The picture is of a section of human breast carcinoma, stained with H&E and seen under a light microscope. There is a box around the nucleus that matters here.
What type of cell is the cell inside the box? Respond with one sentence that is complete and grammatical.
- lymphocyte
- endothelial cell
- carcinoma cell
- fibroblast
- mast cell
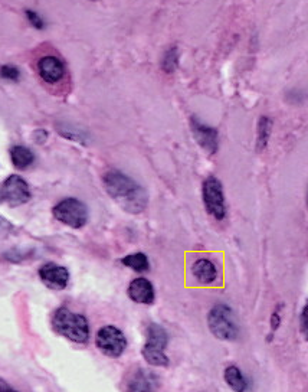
On this particular slide, the cell inside the box is a mast cell.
